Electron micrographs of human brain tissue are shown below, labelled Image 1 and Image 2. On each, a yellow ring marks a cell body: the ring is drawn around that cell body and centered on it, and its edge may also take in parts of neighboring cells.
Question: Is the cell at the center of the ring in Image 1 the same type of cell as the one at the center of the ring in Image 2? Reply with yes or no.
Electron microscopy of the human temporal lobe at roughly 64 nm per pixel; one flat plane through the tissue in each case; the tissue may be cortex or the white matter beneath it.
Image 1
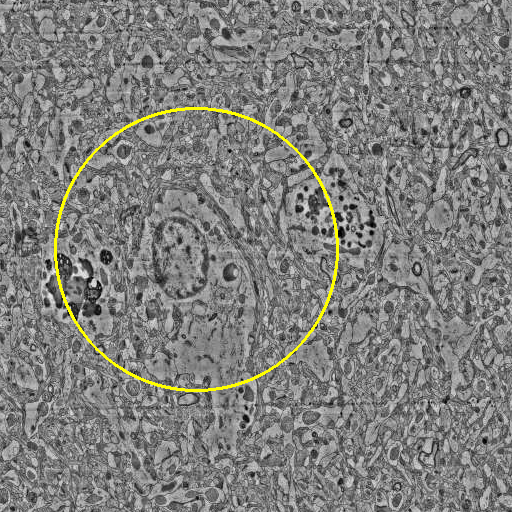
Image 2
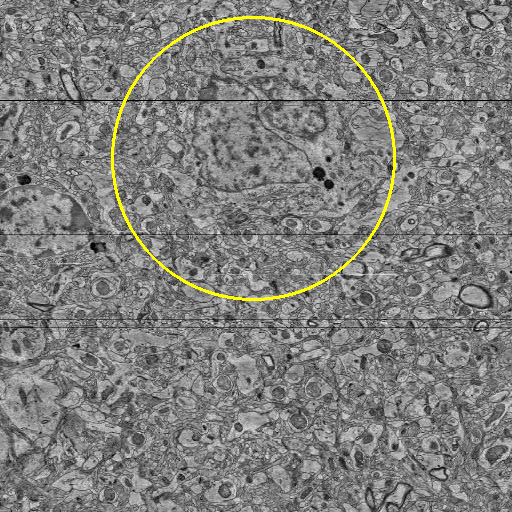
no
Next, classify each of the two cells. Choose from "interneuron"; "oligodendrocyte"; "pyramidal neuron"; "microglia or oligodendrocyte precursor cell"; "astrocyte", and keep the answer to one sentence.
In the first picture it is an astrocyte; in the second it is an interneuron.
